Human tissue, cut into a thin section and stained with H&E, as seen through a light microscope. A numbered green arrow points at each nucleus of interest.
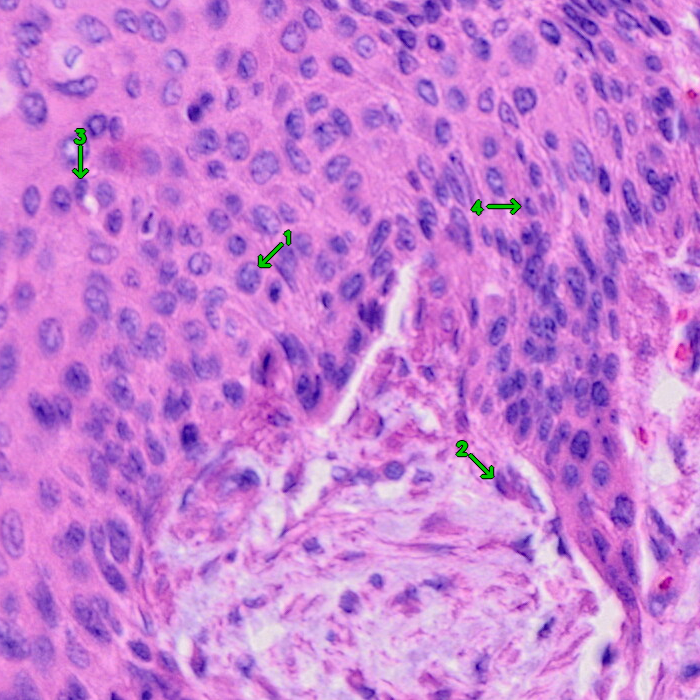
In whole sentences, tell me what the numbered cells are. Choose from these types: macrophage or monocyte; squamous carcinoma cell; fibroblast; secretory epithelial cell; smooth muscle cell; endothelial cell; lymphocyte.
Cell 1 is a squamous carcinoma cell, cell 2 is a fibroblast, cell 3 is a squamous carcinoma cell and cell 4 is a squamous carcinoma cell.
